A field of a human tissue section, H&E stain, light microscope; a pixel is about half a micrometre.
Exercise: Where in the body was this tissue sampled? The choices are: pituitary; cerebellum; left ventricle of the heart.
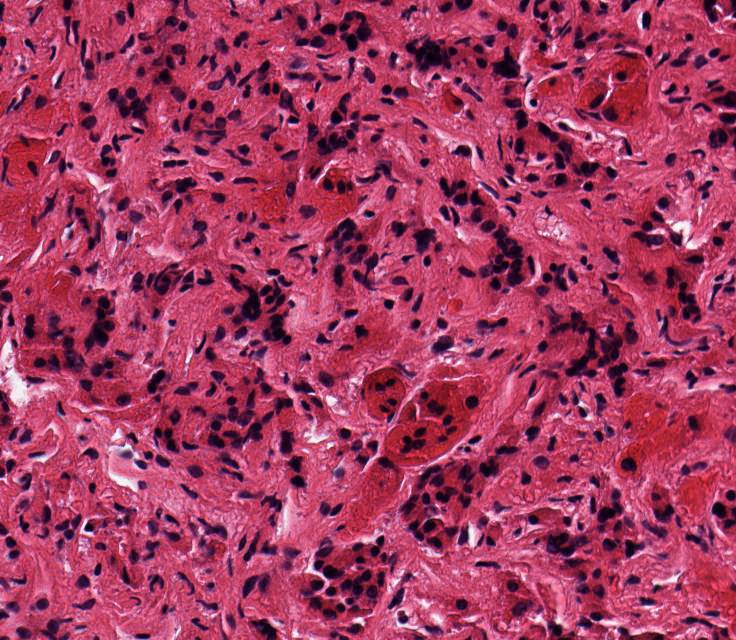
pituitary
